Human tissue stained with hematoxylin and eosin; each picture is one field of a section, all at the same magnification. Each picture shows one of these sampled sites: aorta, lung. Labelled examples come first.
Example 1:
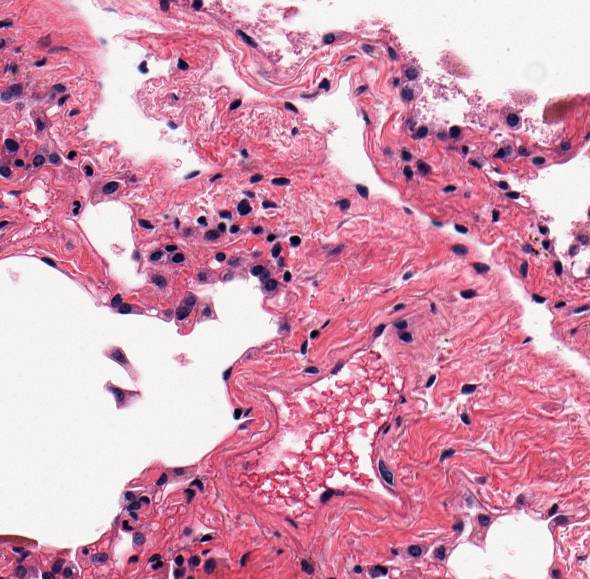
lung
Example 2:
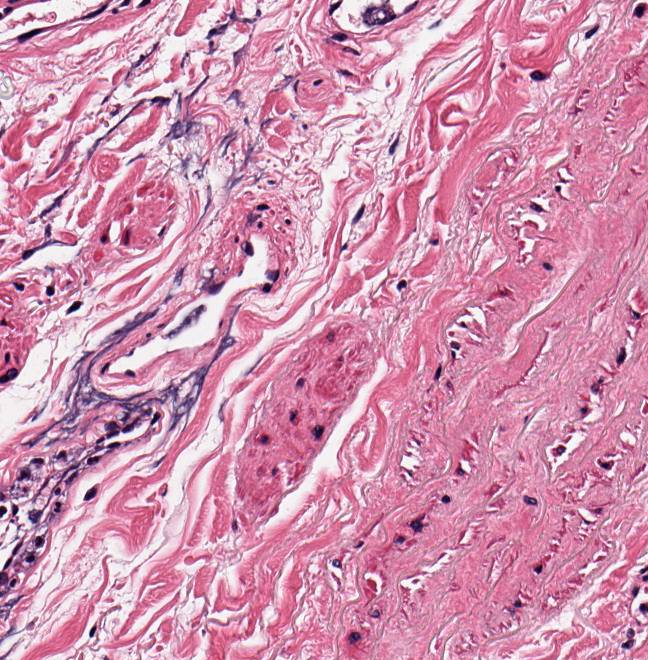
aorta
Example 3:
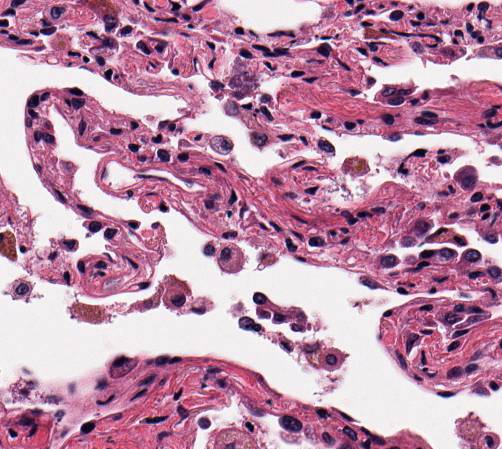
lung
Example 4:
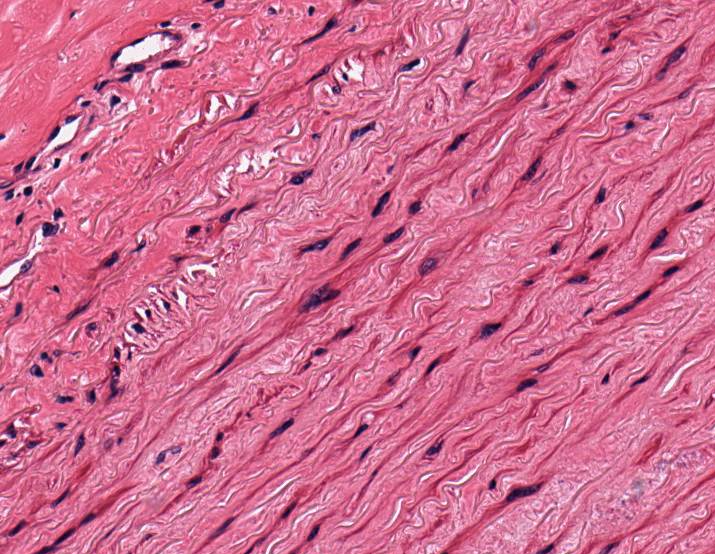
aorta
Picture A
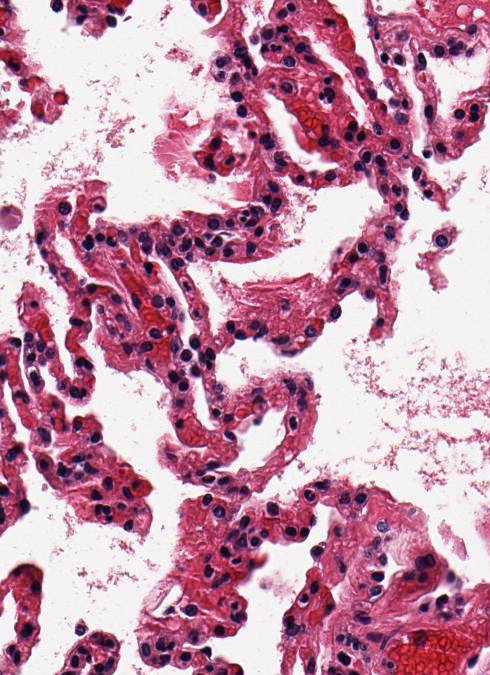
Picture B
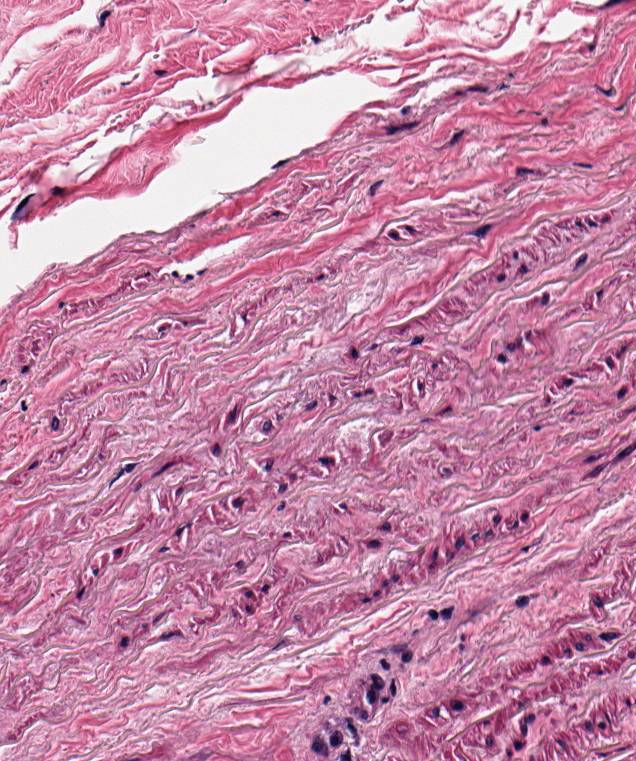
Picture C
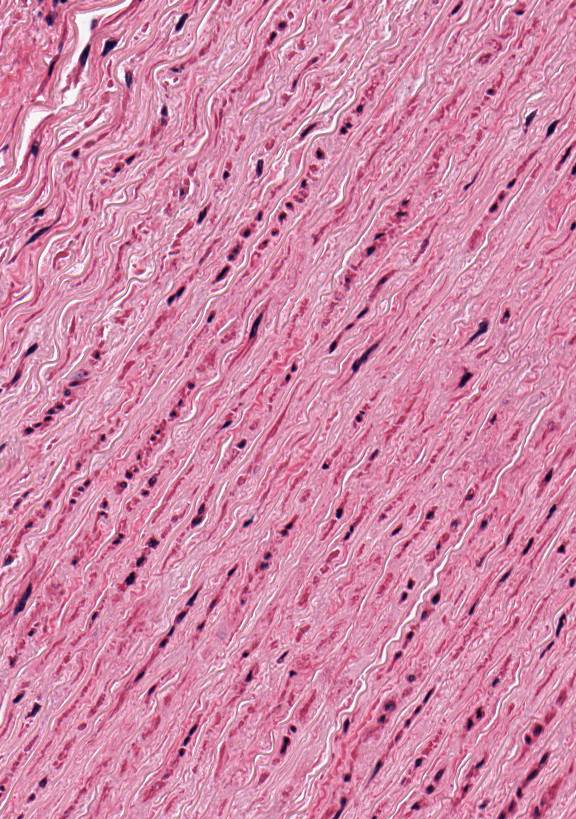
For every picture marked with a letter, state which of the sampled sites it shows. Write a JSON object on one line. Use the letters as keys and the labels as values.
{"A": "lung", "B": "aorta", "C": "aorta"}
